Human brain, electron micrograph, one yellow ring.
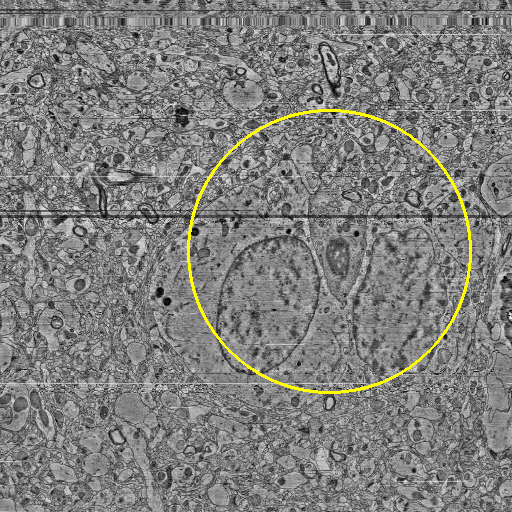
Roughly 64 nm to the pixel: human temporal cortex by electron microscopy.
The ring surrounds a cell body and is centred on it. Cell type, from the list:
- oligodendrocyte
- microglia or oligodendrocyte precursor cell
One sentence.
The yellow ring circles an oligodendrocyte.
